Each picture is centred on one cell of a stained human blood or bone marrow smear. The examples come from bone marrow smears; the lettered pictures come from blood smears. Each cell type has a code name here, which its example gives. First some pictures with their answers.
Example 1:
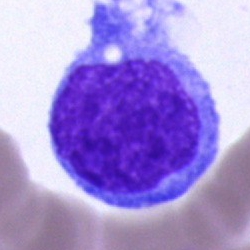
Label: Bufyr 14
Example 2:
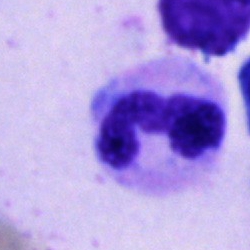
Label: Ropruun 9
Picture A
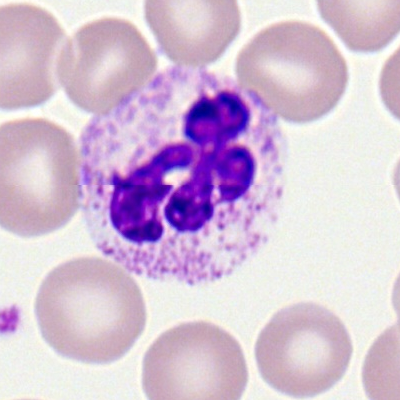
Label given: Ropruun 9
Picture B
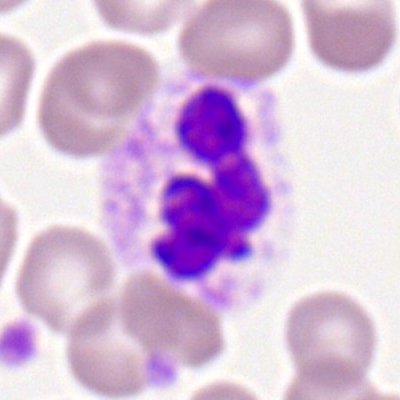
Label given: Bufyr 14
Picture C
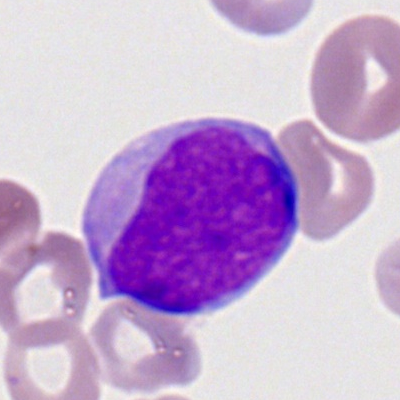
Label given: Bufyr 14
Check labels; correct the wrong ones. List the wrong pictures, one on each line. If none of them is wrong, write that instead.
B is labelled Bufyr 14; correct label: Ropruun 9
